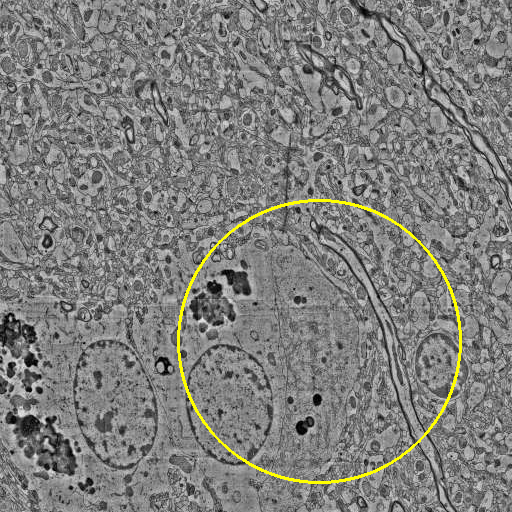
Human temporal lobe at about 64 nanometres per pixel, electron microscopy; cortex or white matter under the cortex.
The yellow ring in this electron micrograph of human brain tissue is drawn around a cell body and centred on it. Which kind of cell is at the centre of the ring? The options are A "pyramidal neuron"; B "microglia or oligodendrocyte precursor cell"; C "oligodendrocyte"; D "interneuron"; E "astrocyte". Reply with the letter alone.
D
